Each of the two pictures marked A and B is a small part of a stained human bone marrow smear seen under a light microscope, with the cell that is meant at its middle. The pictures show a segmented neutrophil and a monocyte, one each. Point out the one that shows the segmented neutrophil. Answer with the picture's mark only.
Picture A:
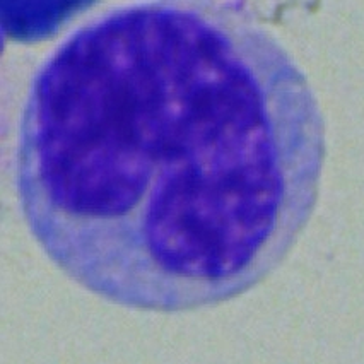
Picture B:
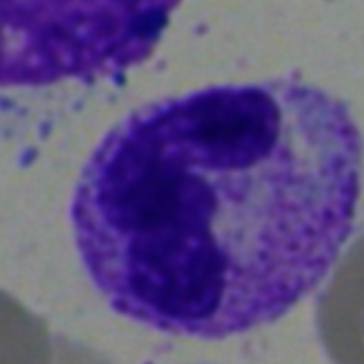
B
